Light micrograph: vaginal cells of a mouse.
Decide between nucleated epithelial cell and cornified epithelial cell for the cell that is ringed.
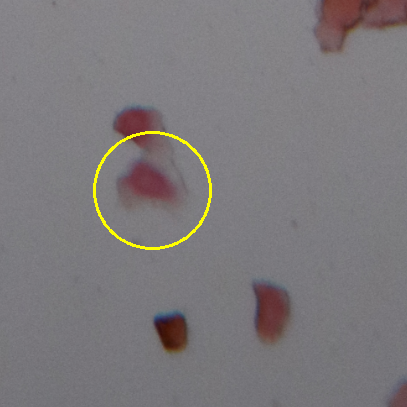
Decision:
I take the ringed cell for a nucleated epithelial cell.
